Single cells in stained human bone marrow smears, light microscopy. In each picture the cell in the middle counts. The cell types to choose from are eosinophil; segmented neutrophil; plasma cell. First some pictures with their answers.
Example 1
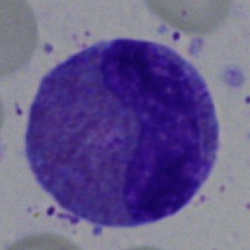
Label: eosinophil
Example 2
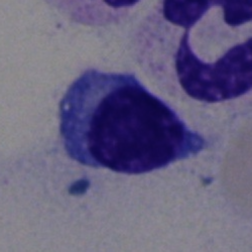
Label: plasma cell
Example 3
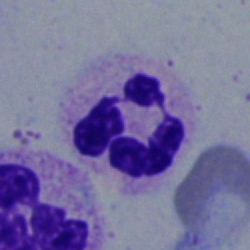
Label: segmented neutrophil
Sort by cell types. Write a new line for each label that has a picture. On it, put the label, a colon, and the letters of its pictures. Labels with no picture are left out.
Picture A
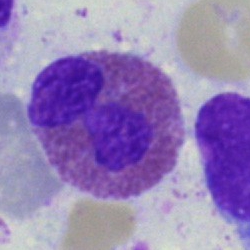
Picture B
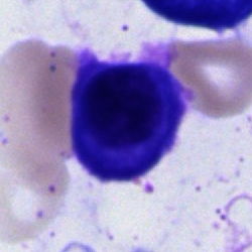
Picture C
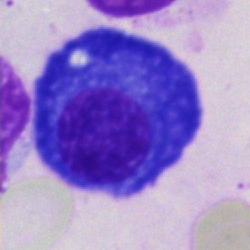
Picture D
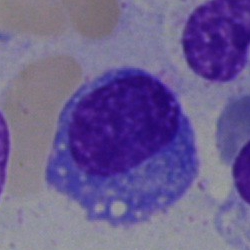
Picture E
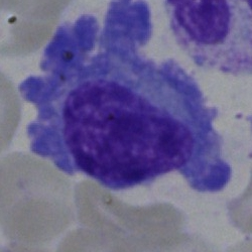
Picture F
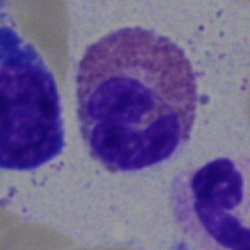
eosinophil: A, F
plasma cell: B, C, D, E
